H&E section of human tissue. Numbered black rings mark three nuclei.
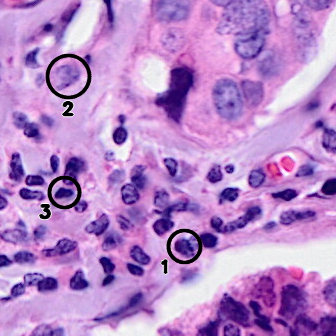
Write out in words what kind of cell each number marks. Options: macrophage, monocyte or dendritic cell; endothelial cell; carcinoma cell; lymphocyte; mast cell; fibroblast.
Cells 1 and 3 are lymphocytes. Cell 2 is a macrophage, monocyte or dendritic cell.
